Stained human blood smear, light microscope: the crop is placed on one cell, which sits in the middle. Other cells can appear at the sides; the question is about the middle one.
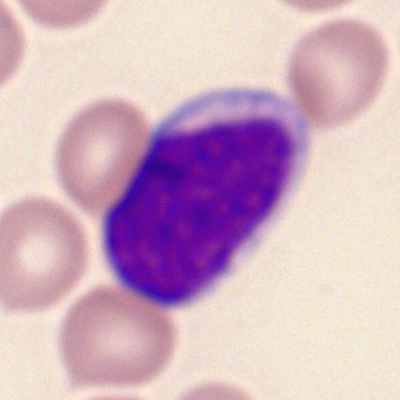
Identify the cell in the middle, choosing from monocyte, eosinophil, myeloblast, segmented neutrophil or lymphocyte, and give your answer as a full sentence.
The cell around which this crop is centred is a myeloblast.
